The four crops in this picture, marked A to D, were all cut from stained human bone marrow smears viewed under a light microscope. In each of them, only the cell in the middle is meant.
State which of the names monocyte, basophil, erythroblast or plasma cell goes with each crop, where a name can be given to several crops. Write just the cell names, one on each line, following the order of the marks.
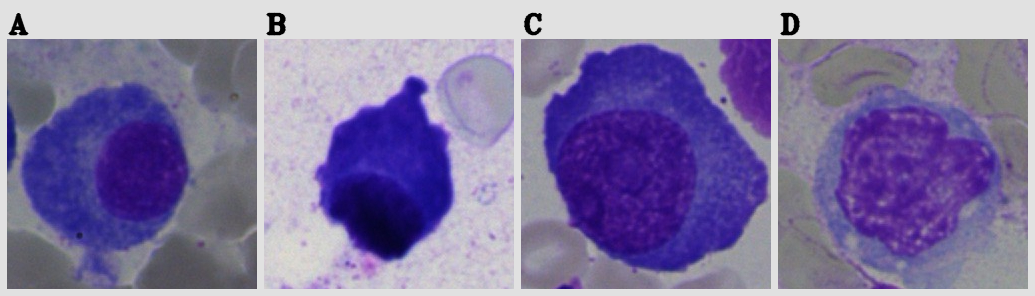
plasma cell
plasma cell
plasma cell
monocyte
